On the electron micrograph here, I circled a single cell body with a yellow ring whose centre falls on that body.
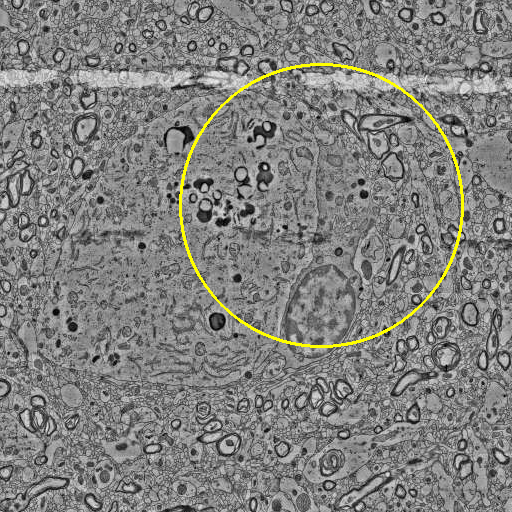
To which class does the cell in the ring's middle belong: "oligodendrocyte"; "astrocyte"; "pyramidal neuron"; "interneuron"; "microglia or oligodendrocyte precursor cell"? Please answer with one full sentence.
In this picture, the cell body circled at the ring's centre belongs to an oligodendrocyte.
